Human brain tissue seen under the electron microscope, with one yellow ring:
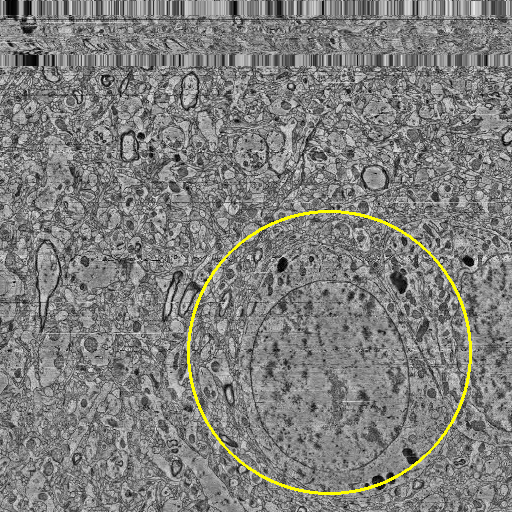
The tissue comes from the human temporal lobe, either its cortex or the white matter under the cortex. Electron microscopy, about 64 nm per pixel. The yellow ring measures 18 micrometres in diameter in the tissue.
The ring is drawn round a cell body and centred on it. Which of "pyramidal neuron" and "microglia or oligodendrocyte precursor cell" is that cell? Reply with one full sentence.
The picture shows a pyramidal neuron at the very centre of the yellow ring.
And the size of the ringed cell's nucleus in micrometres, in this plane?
The nucleus measures about 13 by 10 micrometres in this plane.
